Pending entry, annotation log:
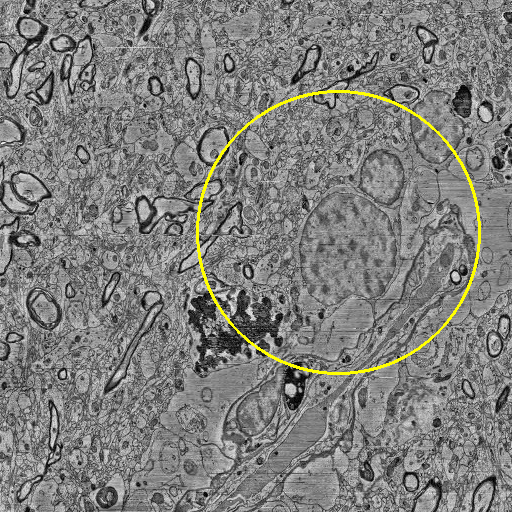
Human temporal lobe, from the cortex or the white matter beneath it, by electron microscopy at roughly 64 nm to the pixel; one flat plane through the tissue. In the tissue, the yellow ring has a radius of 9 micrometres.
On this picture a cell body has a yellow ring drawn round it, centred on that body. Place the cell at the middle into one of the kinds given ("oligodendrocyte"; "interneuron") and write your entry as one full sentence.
The cell body at the middle of the yellow ring belongs to an oligodendrocyte.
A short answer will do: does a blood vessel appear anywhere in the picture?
Yes.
